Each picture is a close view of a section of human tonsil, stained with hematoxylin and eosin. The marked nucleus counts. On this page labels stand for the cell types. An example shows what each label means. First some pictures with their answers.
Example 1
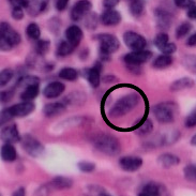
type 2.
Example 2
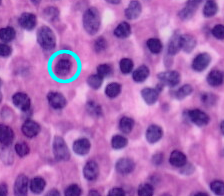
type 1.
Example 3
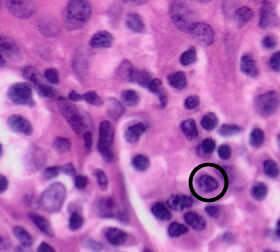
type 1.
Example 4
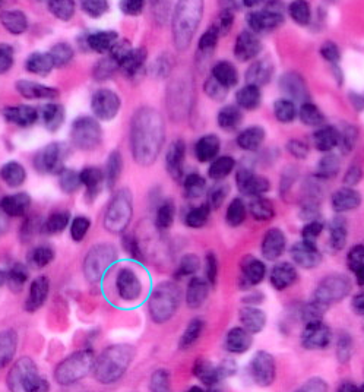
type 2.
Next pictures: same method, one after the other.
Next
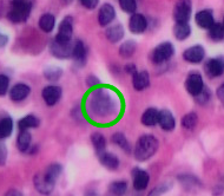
type 2.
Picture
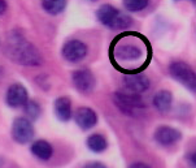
type 1.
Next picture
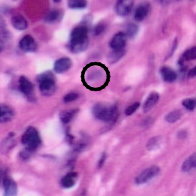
type 2.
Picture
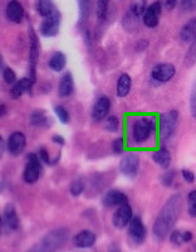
type 1.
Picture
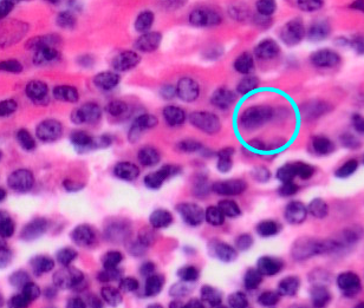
type 2.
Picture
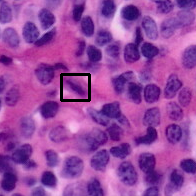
type 2.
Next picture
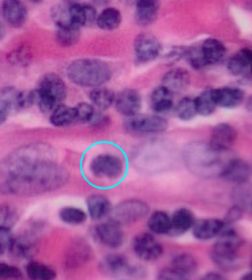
type 2.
